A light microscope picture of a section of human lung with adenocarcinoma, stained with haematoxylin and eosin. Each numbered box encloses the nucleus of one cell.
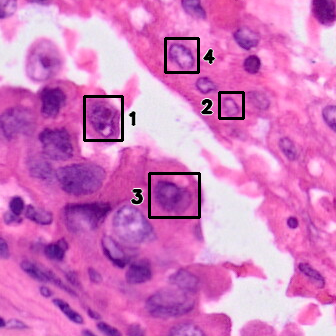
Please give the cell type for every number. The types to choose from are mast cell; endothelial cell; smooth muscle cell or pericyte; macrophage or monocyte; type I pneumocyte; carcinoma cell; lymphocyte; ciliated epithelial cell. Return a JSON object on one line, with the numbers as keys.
{"1": "carcinoma cell", "2": "macrophage or monocyte", "3": "carcinoma cell", "4": "macrophage or monocyte"}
